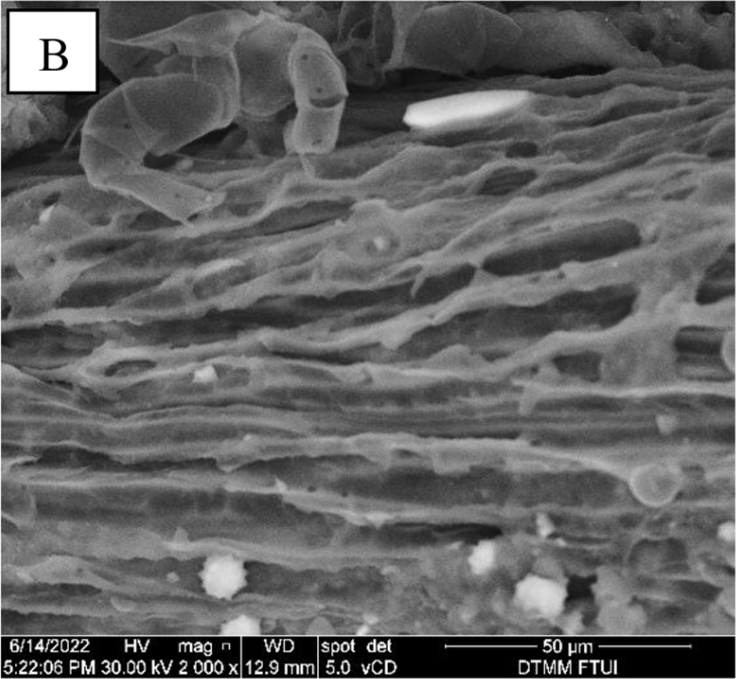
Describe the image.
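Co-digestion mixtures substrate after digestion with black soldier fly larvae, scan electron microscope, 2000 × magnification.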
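Many walls are thinned, perforated or torn, leaving open gaps and a loose, net-like surface. Small bright rounded particles lie scattered on the surface, and a curled sheet of material lies at the top left.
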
